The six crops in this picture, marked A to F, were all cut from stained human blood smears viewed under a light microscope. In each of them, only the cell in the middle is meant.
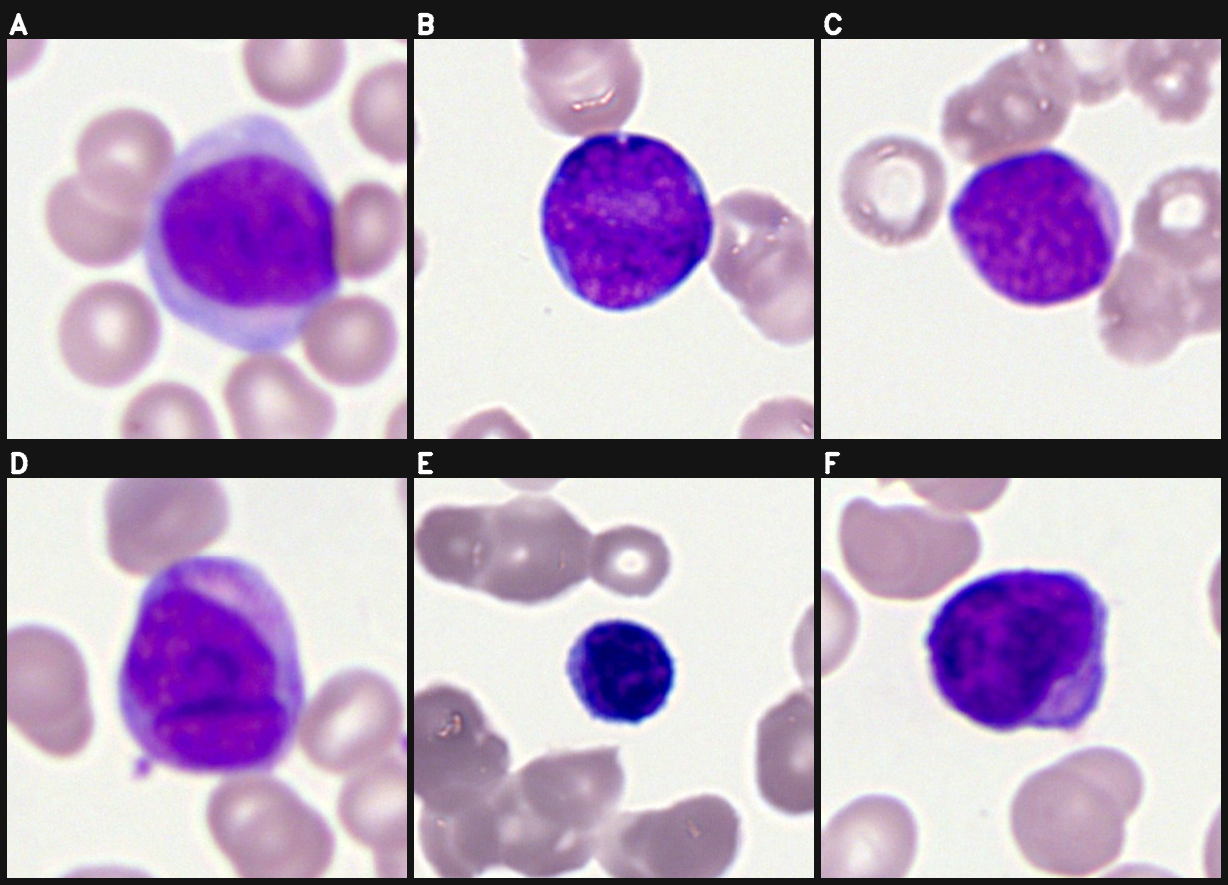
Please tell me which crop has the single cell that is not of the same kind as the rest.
E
